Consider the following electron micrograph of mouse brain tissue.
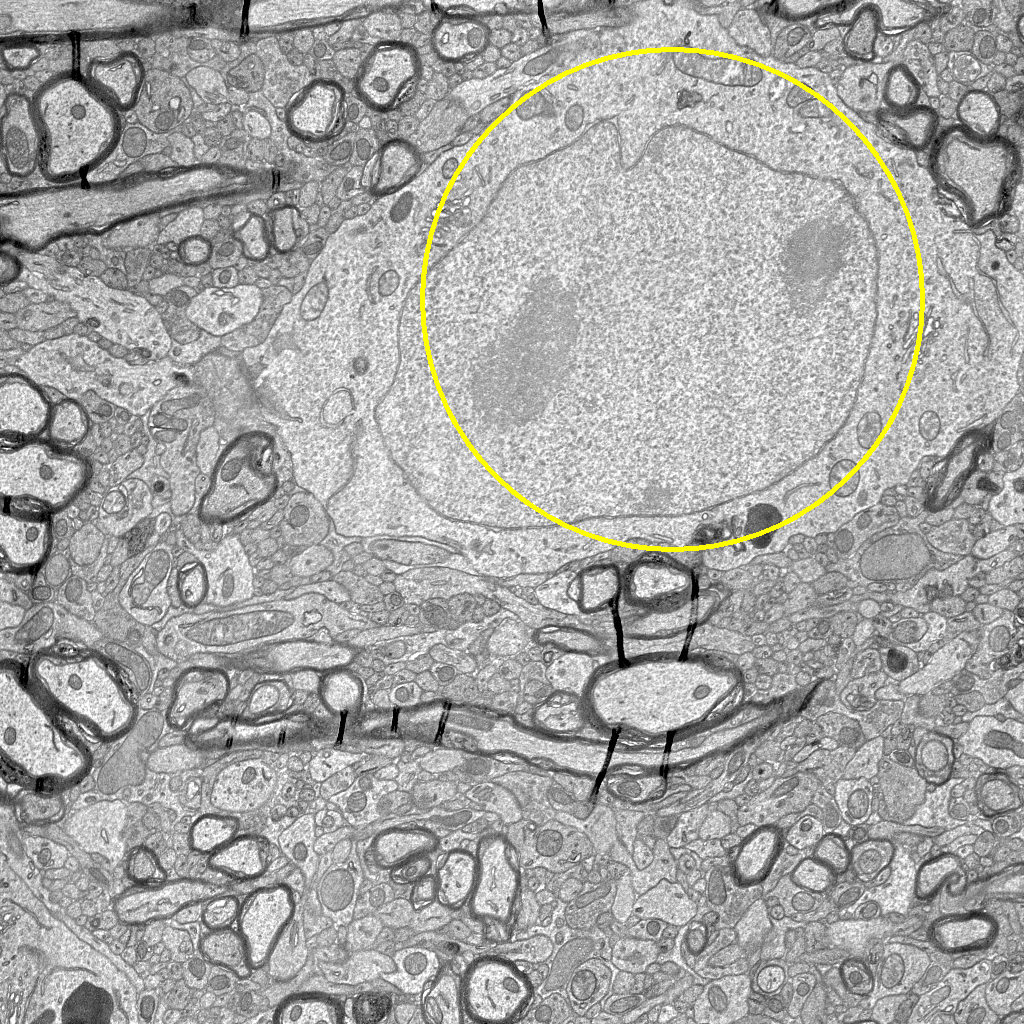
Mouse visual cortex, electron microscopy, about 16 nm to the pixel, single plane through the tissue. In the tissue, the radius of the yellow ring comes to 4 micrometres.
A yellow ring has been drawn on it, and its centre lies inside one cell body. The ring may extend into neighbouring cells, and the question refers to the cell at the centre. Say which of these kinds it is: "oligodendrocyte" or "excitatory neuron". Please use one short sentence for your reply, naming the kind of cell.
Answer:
The centre of the ring falls on an excitatory neuron.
